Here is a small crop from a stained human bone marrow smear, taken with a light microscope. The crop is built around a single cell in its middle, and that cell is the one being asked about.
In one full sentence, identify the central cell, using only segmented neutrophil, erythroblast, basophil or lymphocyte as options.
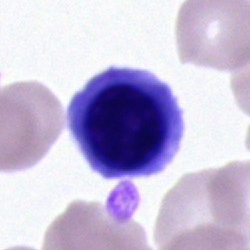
By type, the central cell of the crop is an erythroblast.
